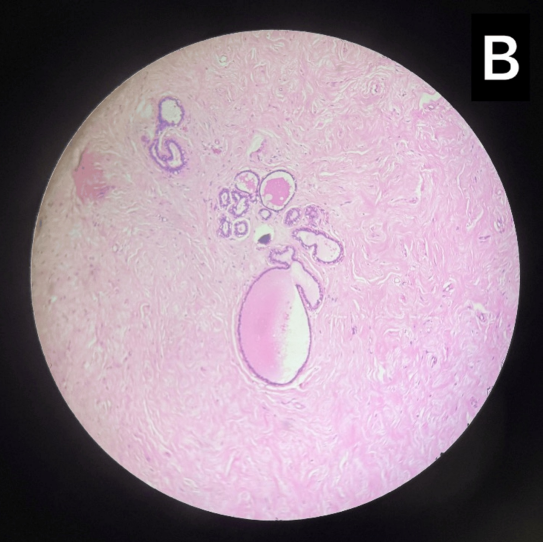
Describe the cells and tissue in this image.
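Dilated ducts lined by benign epithelium, within abundant fibrous stroma. A cluster of smaller rounded ducts lies above it, some with pink secretion in their lumens. The ducts are lined by a thin, regular layer of cells with purple nuclei. The surrounding stroma is pale pink, densely collagenous and sparsely cellular.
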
